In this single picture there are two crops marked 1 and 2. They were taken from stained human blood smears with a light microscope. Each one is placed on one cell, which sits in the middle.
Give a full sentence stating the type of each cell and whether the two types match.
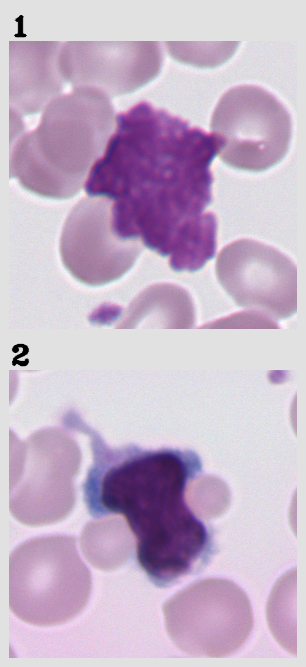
No, crop 1 contains a smudge cell; a typical lymphocyte is what crop 2 contains.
